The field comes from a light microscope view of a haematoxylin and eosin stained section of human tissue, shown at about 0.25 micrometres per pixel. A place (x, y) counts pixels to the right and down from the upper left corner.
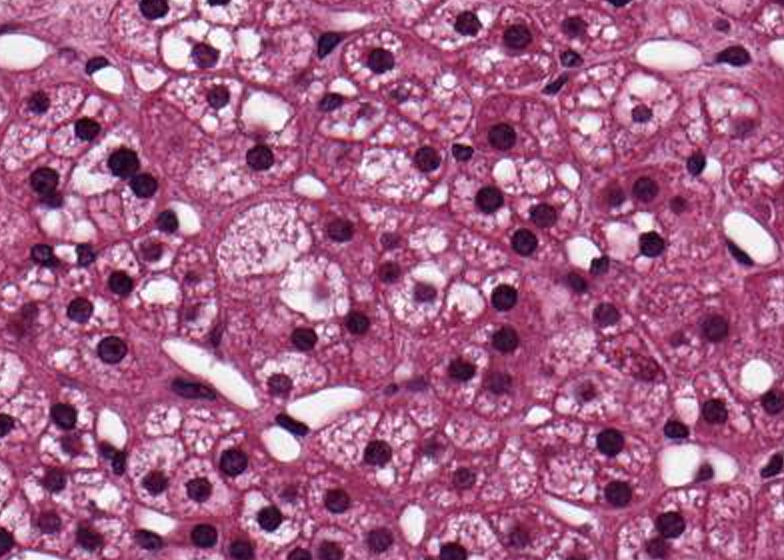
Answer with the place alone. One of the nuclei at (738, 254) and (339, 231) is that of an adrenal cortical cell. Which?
(339, 231)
